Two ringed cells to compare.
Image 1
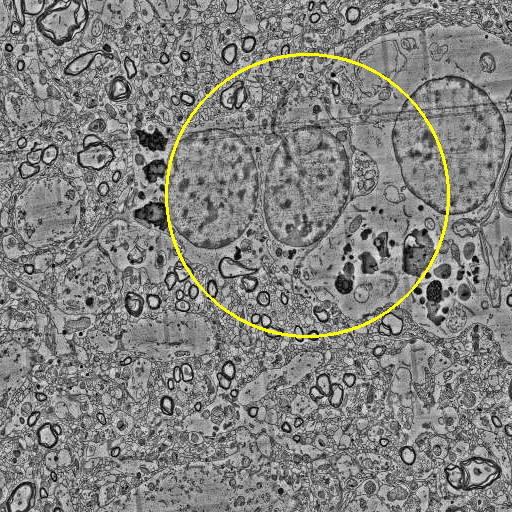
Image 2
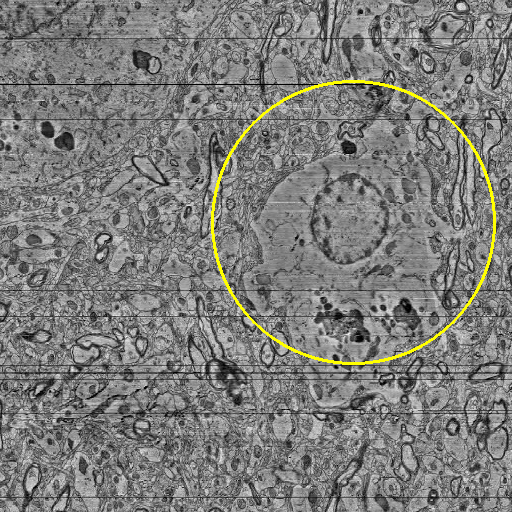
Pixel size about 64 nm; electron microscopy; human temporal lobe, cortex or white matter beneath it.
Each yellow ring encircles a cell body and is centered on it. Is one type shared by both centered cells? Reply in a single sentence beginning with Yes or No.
No, two types are found among the cells at the centers of the rings.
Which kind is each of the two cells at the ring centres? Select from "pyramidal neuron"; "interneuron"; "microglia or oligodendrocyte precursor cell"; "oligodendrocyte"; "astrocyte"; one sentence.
The cell at the centre of the ring is an oligodendrocyte in the first picture and an astrocyte in the second.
